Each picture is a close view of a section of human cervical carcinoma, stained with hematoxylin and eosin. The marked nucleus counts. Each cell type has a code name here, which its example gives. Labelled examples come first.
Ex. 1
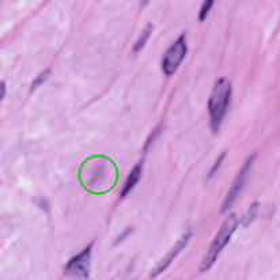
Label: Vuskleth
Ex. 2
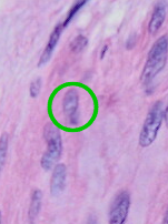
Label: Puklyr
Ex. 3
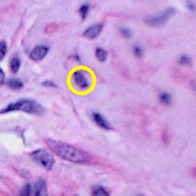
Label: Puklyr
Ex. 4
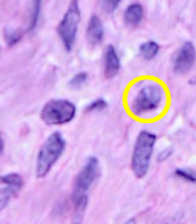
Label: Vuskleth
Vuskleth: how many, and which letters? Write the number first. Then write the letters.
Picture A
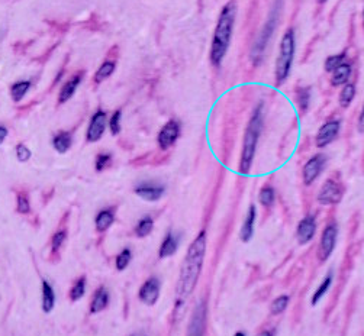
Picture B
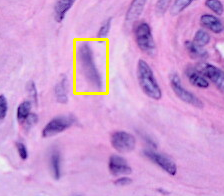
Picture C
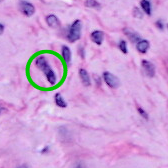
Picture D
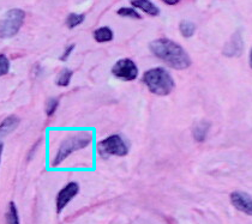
2: B, D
